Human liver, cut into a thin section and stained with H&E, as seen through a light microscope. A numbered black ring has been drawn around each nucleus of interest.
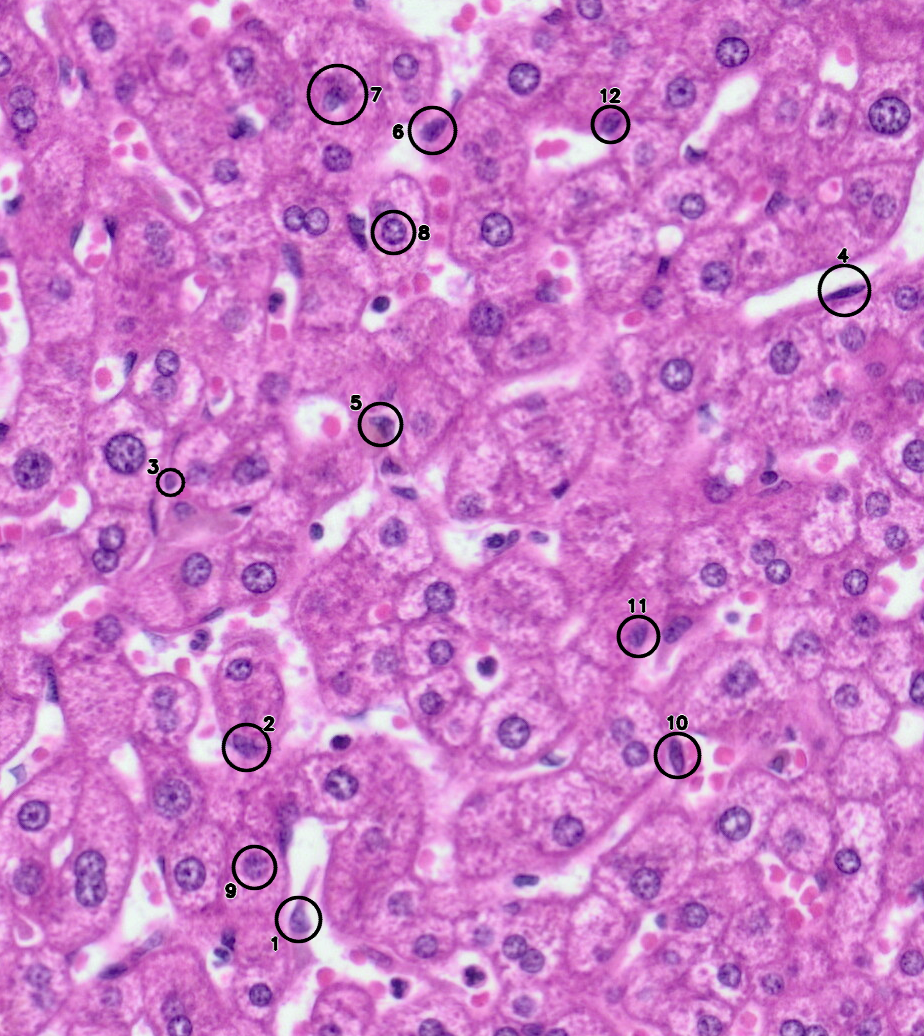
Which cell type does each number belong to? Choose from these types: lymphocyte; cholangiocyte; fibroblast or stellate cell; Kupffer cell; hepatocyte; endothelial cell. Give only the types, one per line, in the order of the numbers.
Kupffer cell
fibroblast or stellate cell
lymphocyte
Kupffer cell
Kupffer cell
fibroblast or stellate cell
endothelial cell
hepatocyte
hepatocyte
Kupffer cell
fibroblast or stellate cell
fibroblast or stellate cell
